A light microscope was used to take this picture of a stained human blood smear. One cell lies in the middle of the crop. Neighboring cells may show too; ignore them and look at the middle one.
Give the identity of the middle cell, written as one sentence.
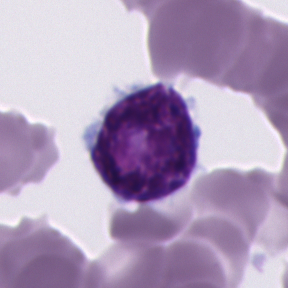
The cell shown in the center of this light-microscope crop is a hairy cell.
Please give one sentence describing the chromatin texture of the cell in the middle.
Heads up, the chromatin in this one is coarsely clumped.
